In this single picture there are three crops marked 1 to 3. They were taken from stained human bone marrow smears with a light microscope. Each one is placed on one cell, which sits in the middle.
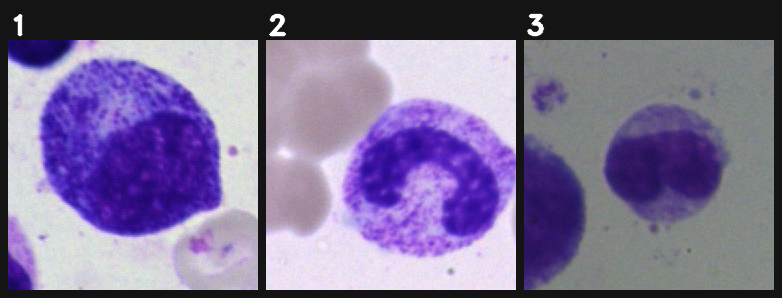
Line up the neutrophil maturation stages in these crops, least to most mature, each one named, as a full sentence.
The stages, ordered from least to most mature, are crop 1 (a promyelocyte), crop 3 (a metamyelocyte) and crop 2 (a band neutrophil).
